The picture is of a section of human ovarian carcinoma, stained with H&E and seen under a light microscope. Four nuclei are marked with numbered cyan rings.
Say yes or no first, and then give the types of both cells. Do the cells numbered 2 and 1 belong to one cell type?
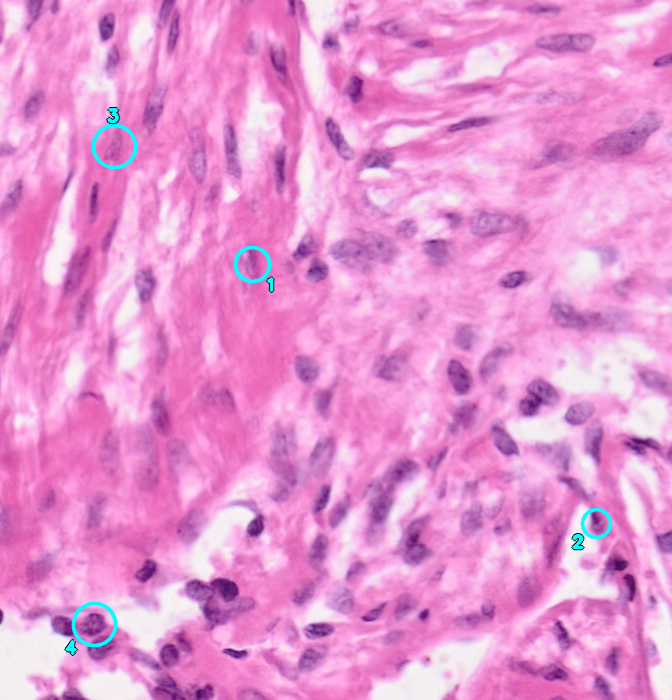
Yes, along with cell 2, cell 1 is also among the fibroblasts.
